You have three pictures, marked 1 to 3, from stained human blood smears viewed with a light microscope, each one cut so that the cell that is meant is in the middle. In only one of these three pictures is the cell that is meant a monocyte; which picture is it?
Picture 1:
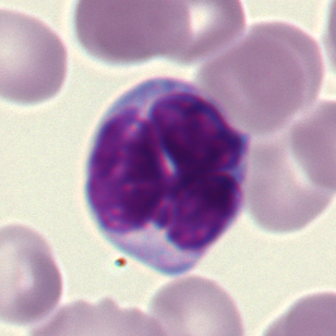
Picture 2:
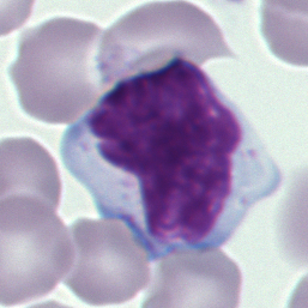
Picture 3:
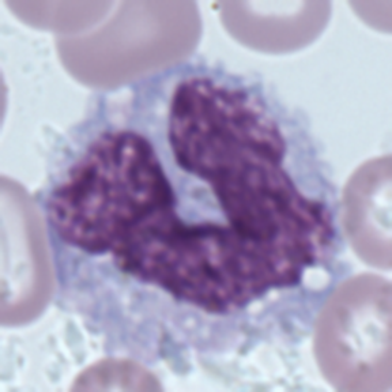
3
